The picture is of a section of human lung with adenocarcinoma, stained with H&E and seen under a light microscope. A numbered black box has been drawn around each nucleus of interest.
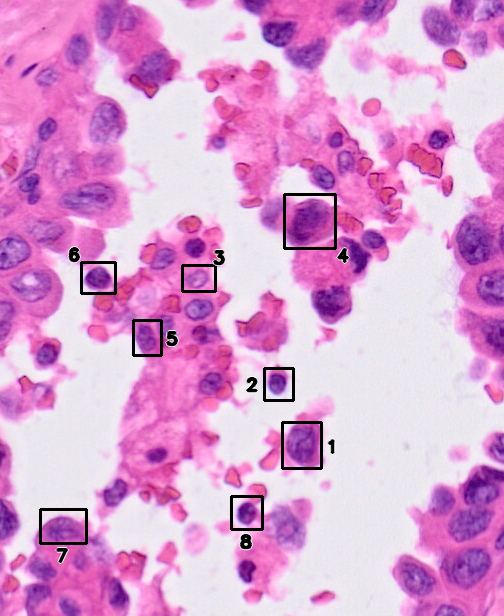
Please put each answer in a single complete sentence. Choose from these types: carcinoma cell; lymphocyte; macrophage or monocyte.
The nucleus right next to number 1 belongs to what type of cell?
The cell nearest to number 1 is a lymphocyte.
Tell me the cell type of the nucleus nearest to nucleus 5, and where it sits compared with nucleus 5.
Just above and to the right of nucleus 5 lies the nearest nucleus, which belongs to a macrophage or monocyte.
